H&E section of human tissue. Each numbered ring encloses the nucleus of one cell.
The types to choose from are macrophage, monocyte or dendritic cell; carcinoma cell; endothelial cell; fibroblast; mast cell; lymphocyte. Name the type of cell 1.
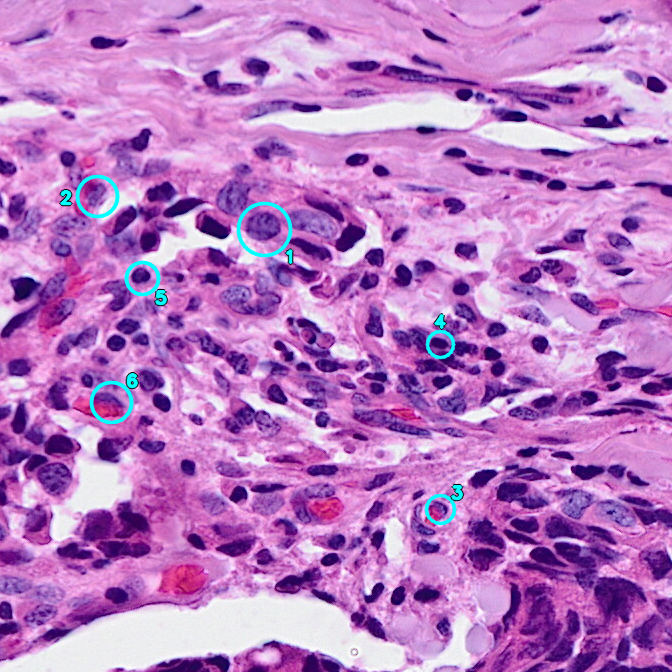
carcinoma cell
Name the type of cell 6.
endothelial cell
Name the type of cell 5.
lymphocyte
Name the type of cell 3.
endothelial cell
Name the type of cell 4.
lymphocyte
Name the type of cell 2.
endothelial cell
